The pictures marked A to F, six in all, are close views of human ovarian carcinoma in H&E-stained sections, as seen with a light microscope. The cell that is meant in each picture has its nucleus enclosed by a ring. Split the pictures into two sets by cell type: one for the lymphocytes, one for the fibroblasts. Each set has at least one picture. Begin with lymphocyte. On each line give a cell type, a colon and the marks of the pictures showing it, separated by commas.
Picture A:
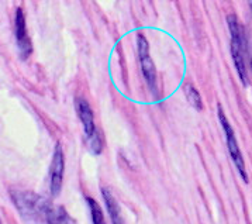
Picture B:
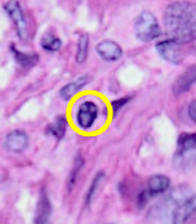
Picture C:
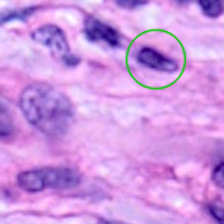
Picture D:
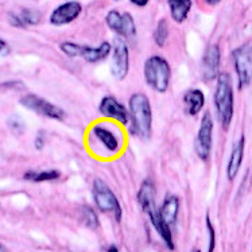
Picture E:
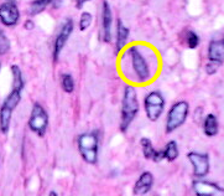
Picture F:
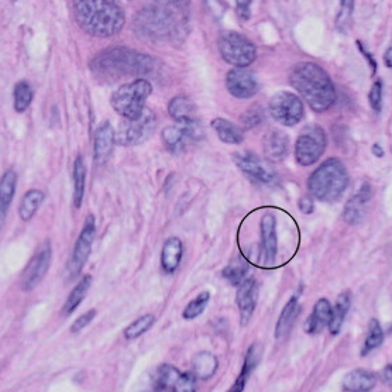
lymphocyte: B, C, D
fibroblast: A, E, F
